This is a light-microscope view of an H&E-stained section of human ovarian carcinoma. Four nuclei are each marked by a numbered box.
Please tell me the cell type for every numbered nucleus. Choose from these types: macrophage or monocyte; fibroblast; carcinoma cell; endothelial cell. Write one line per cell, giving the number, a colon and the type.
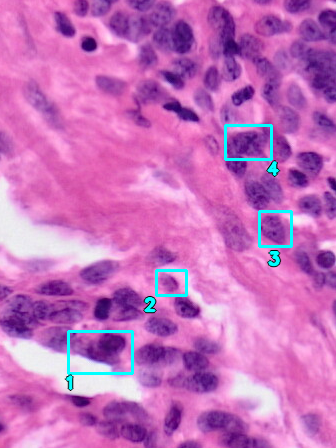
1: carcinoma cell
2: macrophage or monocyte
3: carcinoma cell
4: carcinoma cell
